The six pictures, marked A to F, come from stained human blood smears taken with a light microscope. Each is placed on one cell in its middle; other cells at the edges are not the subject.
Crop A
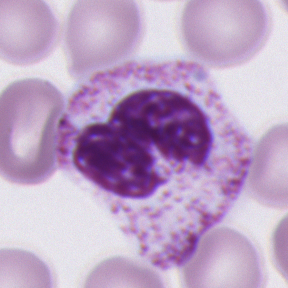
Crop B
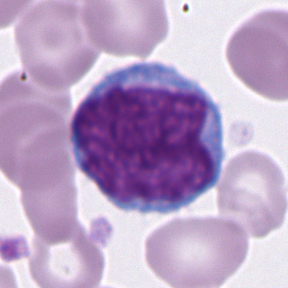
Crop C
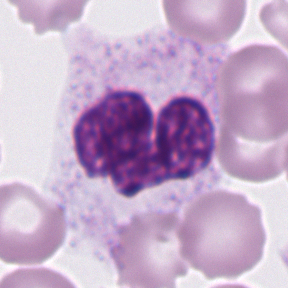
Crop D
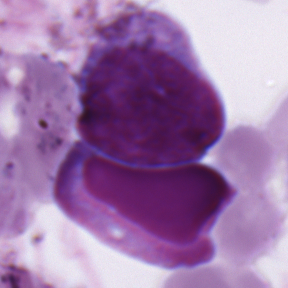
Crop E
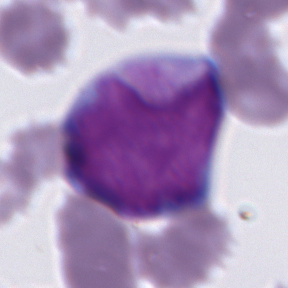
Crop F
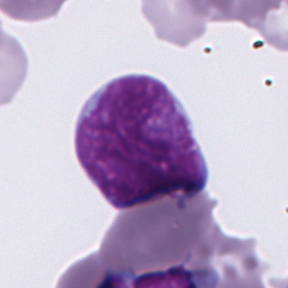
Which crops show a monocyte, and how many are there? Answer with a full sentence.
Of all the crops, crop B is the one containing a monocyte.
